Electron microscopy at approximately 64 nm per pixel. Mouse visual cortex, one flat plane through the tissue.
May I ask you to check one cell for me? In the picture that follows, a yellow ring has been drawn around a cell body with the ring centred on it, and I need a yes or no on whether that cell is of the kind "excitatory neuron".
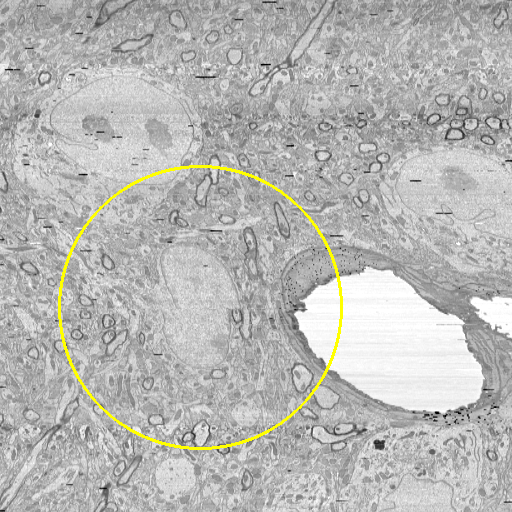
No, it is some other kind of cell.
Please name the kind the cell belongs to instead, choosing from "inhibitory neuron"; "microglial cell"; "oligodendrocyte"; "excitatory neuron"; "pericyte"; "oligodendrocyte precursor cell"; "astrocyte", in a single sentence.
Instead, the cell inside the ring is an astrocyte.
